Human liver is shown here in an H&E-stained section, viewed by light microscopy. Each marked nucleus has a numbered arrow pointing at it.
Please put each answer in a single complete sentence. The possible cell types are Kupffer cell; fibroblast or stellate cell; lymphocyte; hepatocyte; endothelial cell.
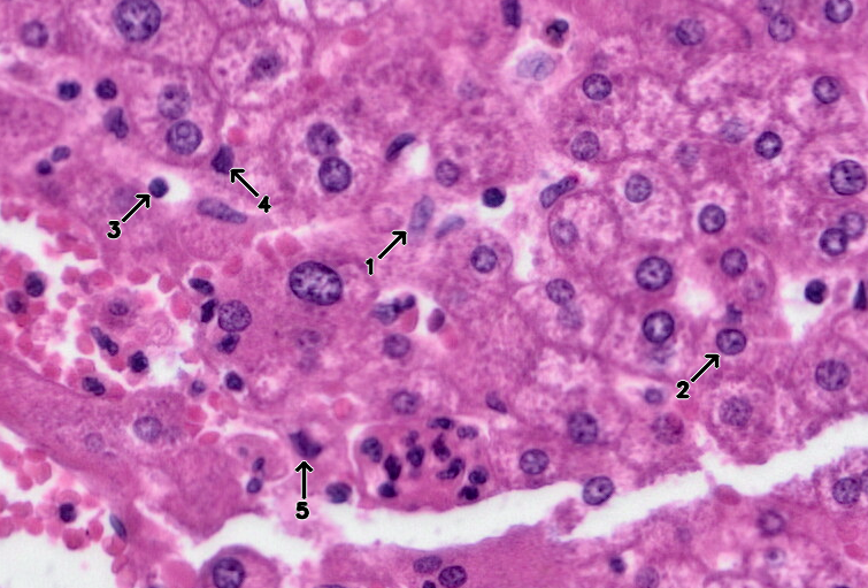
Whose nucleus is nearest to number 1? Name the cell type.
The nearest nucleus to number 1 belongs to an endothelial cell.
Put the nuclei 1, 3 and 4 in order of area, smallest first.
From smallest to largest, the order is 3, 4, 1.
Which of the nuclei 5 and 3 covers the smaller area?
The smaller nucleus is 3, and 5 covers roughly 2 times its area.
